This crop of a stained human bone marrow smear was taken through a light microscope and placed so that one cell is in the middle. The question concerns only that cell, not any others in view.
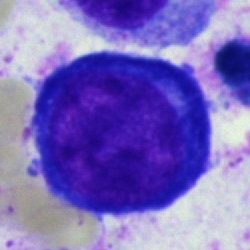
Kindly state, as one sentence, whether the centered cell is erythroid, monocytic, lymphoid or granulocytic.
Lineage-wise, the central cell here belongs with the erythroid series.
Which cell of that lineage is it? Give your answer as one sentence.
The central element of this crop is a cell, namely a proerythroblast.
